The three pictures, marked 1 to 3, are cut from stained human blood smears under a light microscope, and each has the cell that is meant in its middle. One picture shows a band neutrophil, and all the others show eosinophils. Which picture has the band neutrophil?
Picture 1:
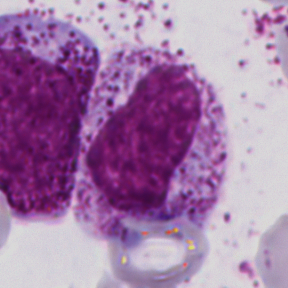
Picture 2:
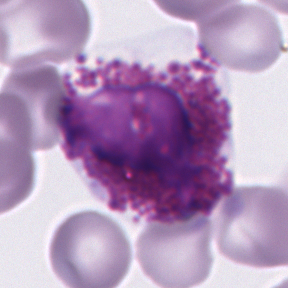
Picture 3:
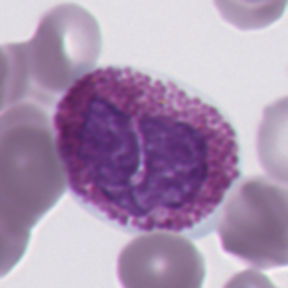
1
